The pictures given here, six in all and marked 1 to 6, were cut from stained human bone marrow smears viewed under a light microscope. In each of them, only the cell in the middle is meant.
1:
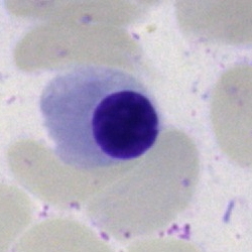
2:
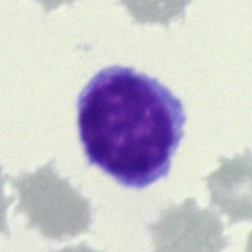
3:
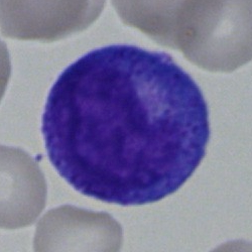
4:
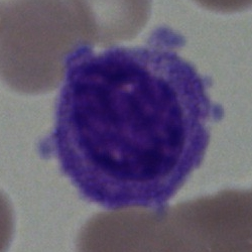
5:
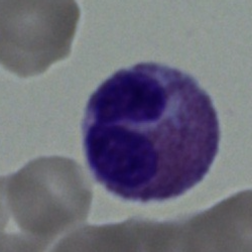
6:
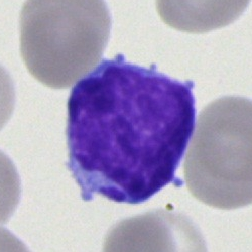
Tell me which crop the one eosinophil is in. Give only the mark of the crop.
5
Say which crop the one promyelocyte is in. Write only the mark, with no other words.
3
